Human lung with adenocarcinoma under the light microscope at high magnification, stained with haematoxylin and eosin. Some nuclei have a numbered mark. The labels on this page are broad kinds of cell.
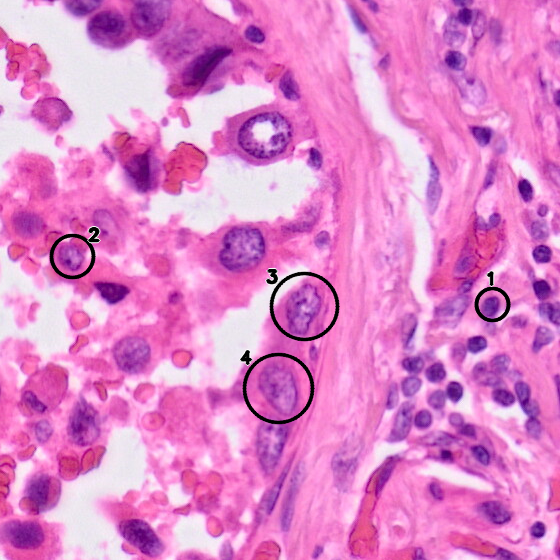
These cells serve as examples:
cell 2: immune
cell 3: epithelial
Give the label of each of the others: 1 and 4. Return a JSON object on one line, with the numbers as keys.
{"1": "immune", "4": "epithelial"}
